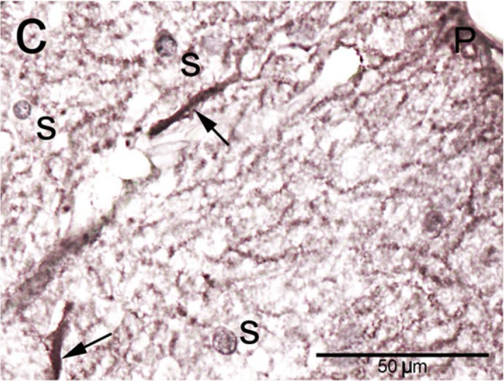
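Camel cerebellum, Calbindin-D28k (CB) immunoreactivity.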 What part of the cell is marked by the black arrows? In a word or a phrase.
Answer: Dendrites.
